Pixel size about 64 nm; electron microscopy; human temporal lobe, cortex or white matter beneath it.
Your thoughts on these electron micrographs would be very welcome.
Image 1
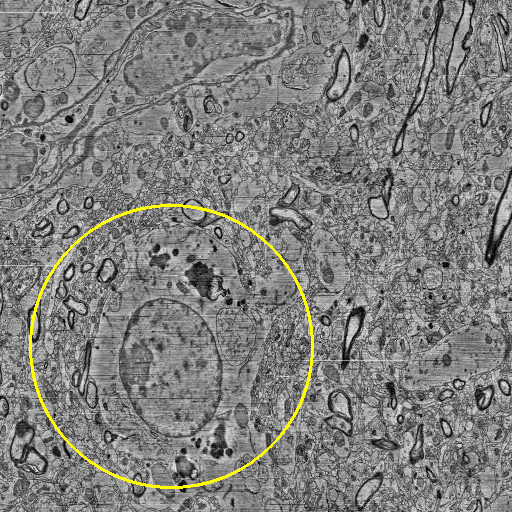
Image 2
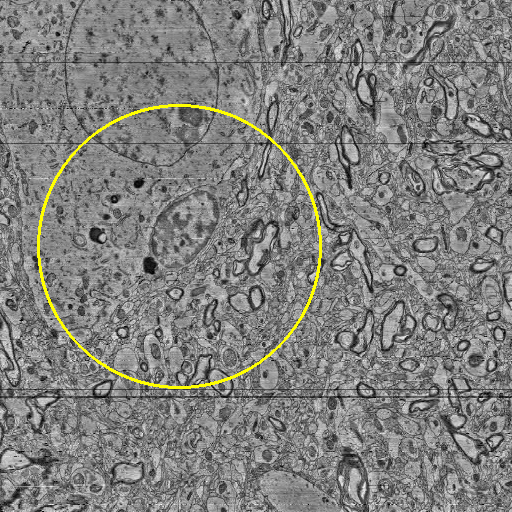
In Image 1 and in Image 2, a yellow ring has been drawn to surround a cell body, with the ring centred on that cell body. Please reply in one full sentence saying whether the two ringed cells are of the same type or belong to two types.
The ringed cells in Image 1 and Image 2 belong to two types.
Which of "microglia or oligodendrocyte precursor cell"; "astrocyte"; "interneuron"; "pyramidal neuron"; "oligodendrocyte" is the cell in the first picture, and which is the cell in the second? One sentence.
The two differ: the first cell is an astrocyte and the second is an oligodendrocyte.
